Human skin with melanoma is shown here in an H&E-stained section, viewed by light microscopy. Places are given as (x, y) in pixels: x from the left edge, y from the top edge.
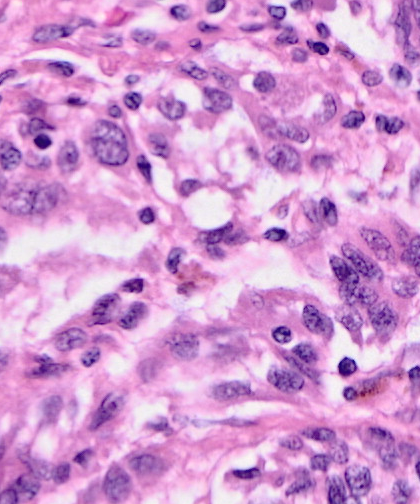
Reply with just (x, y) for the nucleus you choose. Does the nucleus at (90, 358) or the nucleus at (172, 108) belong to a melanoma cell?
(172, 108)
